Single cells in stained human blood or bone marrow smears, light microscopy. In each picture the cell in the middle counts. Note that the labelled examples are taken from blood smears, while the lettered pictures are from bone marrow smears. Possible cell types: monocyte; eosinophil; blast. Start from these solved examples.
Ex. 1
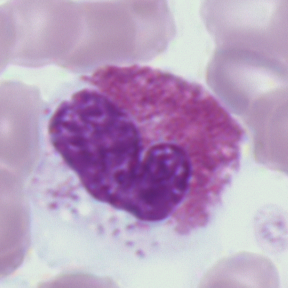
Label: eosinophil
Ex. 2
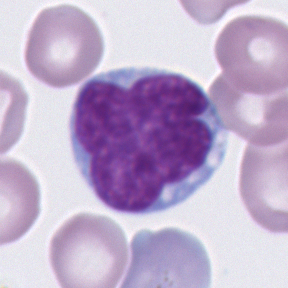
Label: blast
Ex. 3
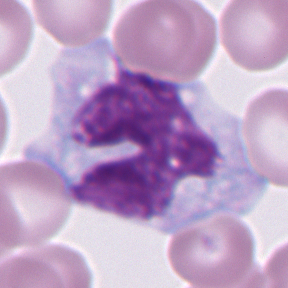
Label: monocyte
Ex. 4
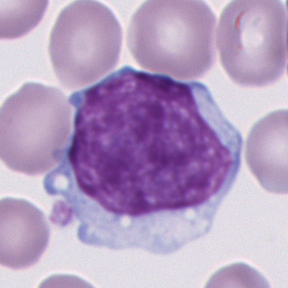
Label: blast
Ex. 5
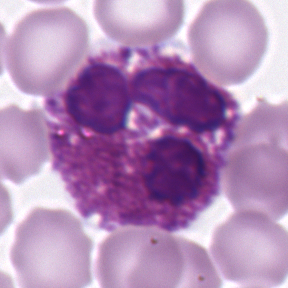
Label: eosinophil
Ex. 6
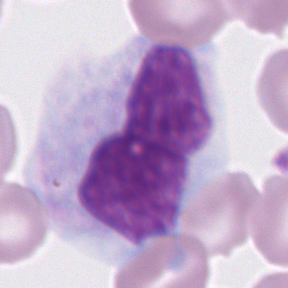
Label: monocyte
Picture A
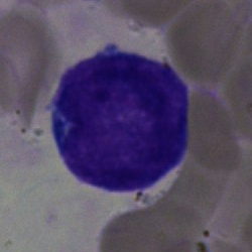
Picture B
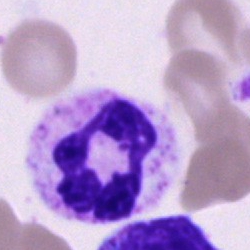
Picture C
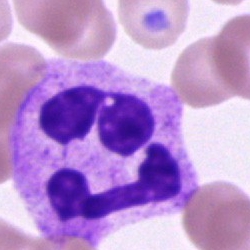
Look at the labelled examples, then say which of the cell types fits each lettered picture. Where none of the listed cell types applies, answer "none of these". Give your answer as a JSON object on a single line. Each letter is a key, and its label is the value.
{"A": "blast", "B": "none of these", "C": "none of these"}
